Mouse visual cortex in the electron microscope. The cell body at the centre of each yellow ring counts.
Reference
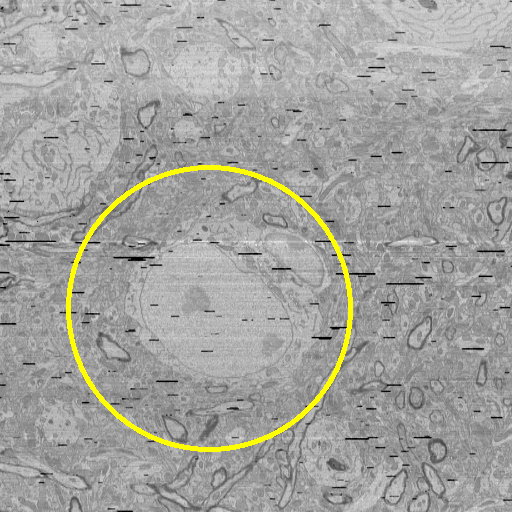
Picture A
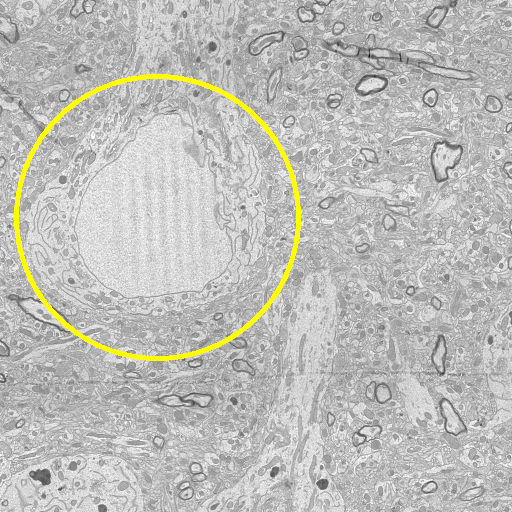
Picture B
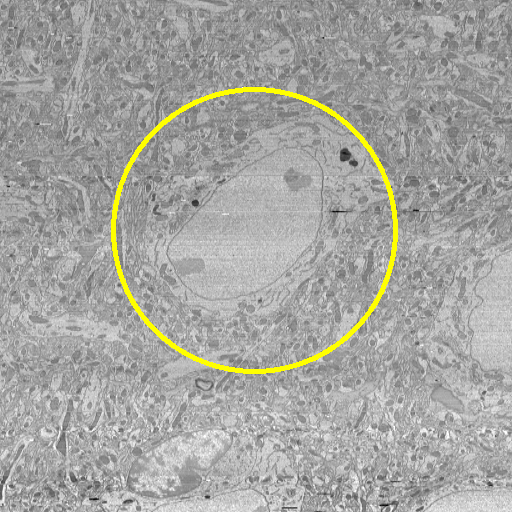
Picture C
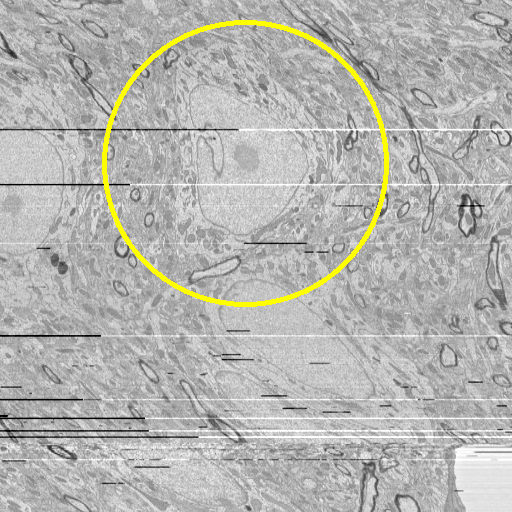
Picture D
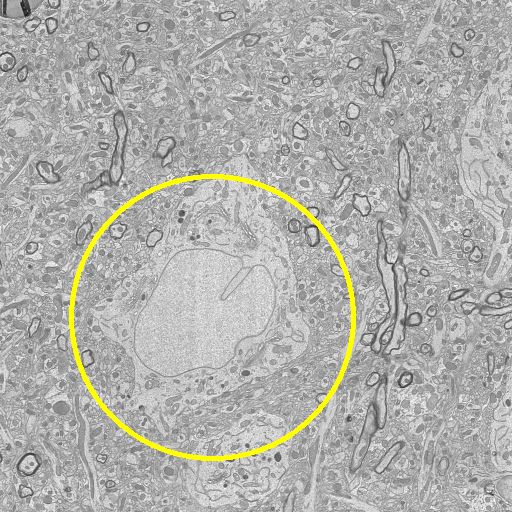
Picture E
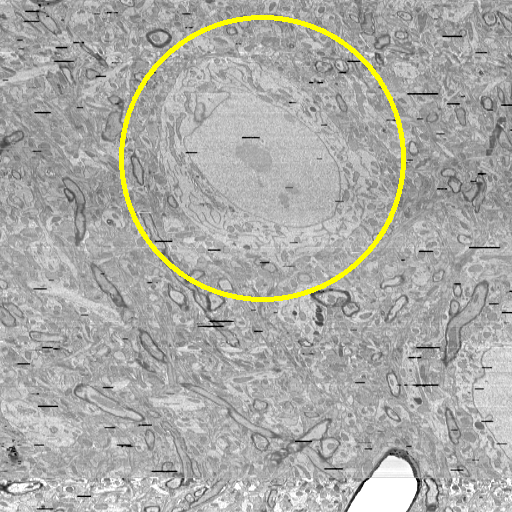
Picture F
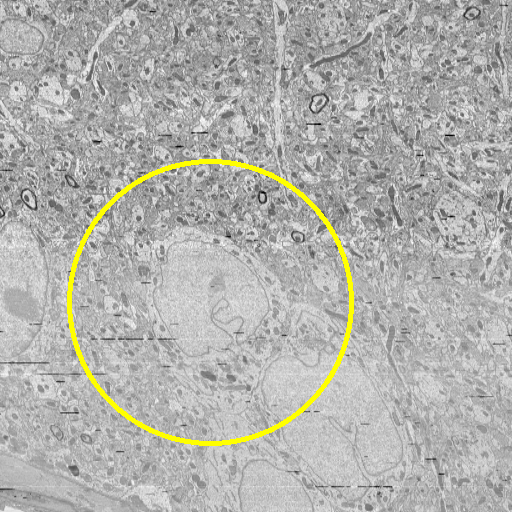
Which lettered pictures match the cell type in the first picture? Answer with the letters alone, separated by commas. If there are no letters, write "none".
A, B, D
